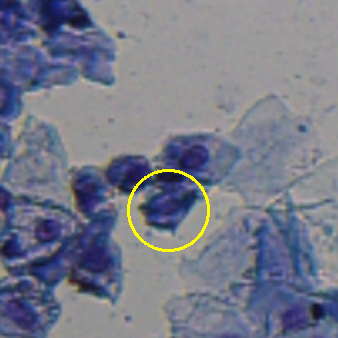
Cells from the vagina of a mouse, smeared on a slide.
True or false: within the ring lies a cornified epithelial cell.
False: a nucleated epithelial cell lies within the ring.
